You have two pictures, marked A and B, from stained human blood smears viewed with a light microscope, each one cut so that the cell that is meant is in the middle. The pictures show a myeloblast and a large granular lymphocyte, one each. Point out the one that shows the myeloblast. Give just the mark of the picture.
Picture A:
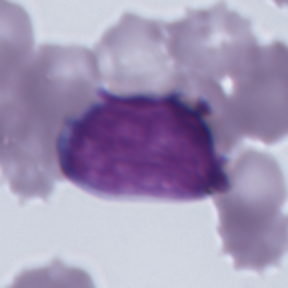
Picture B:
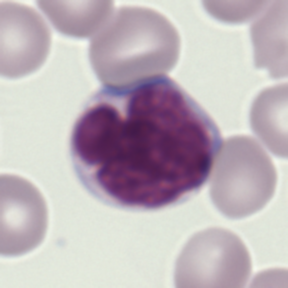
A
